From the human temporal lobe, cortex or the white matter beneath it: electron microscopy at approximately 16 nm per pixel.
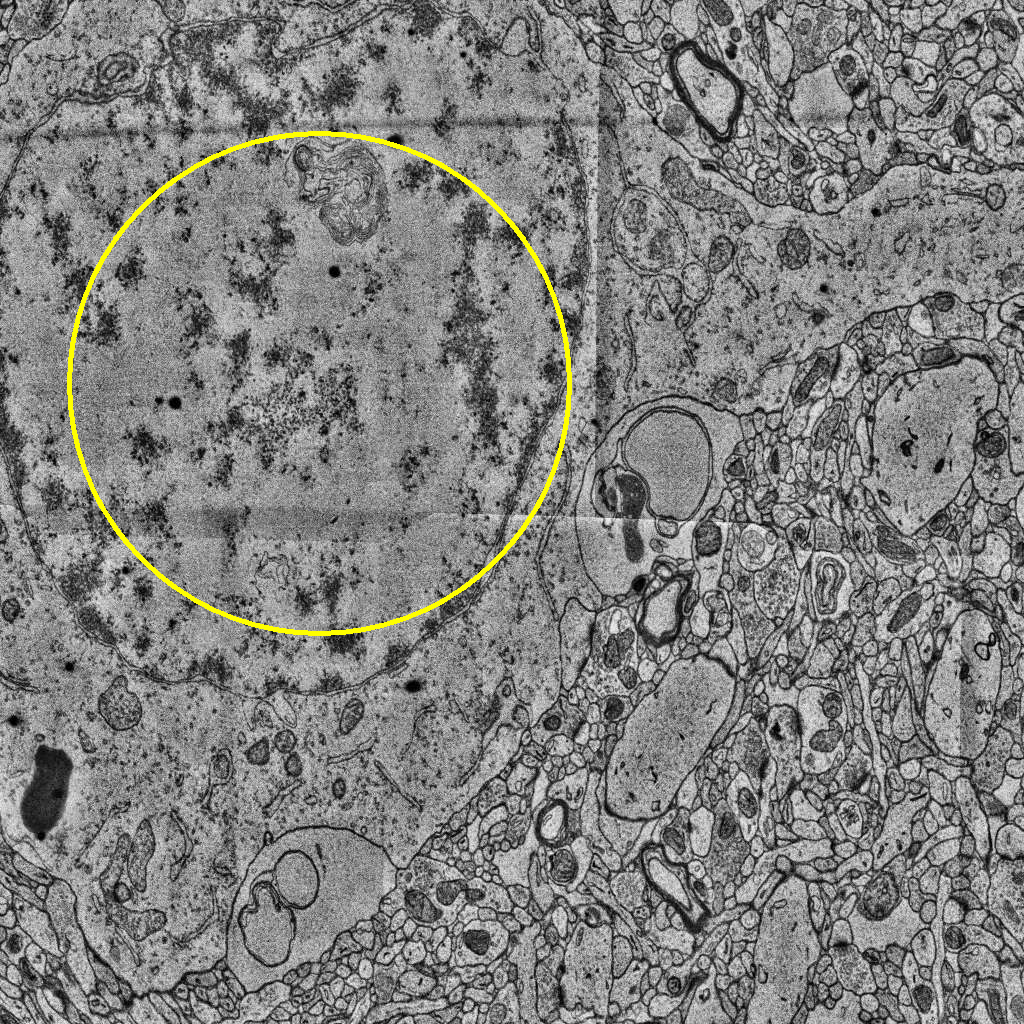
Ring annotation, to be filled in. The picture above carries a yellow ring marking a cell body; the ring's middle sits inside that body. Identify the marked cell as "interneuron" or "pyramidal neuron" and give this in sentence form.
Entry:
The cell at the middle of the ring is an interneuron.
